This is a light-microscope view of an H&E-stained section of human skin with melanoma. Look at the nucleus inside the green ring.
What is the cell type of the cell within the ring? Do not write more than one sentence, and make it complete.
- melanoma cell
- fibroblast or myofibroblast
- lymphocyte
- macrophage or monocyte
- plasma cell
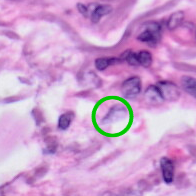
For cell typing purposes, the cell within the ring is a fibroblast or myofibroblast.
